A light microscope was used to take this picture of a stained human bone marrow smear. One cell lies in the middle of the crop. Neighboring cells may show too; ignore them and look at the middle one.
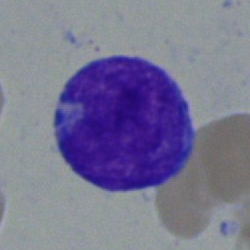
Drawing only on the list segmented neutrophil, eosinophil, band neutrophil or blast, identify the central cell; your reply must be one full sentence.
Here the cell in the middle is a blast.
